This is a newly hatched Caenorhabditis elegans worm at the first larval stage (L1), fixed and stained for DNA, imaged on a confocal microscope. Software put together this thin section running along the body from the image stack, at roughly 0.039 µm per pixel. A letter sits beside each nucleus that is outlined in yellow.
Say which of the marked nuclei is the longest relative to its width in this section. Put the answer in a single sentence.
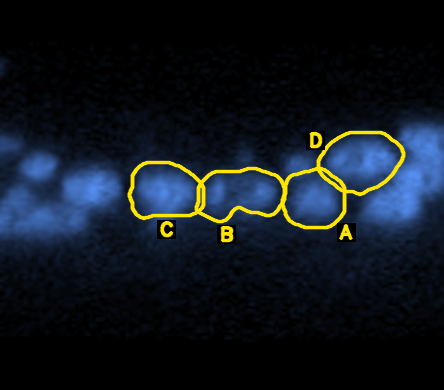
Nucleus B is the longest relative to its width.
